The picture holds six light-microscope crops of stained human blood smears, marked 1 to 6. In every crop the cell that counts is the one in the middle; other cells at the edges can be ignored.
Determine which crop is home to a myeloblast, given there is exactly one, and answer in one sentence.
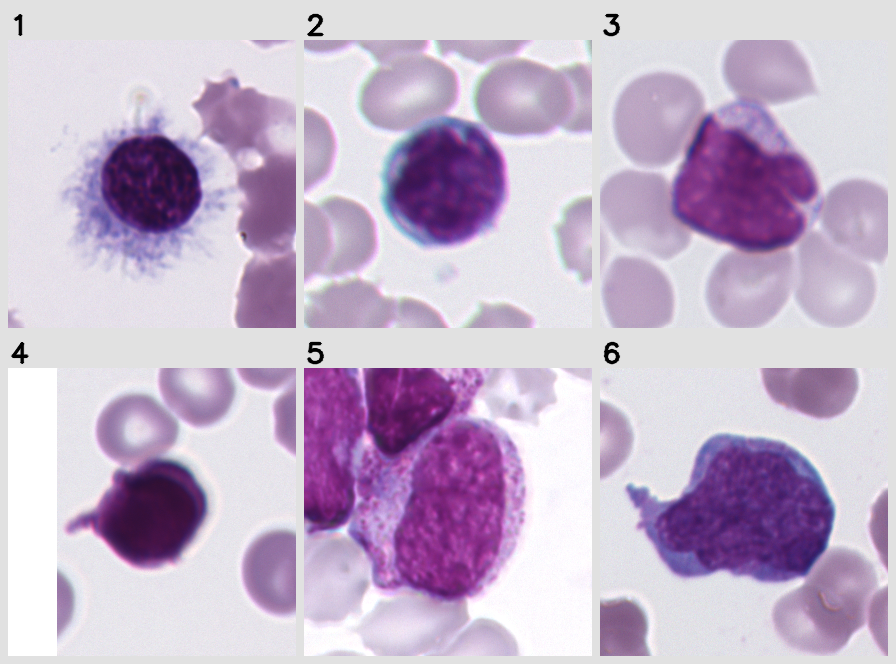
It is crop 4 that shows a myeloblast.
